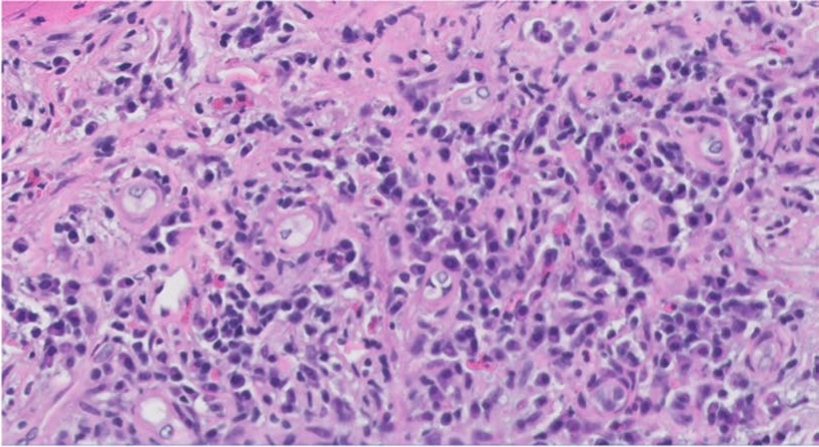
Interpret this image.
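Between scattered round tubule-like profiles with pink walls, the interstitium is packed with small cells bearing round, dense, dark purple nuclei and little cytoplasm, mixed with some cells whose nuclei sit off-centre in more abundant pink-purple cytoplasm. This is renal tissue with a heavy interstitial inflammatory infiltrate made up mostly of mature lymphoid cells together with plasma cells.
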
